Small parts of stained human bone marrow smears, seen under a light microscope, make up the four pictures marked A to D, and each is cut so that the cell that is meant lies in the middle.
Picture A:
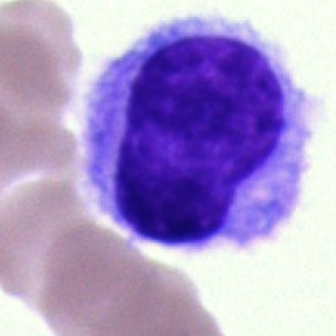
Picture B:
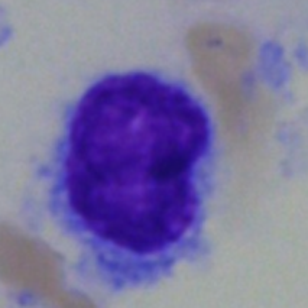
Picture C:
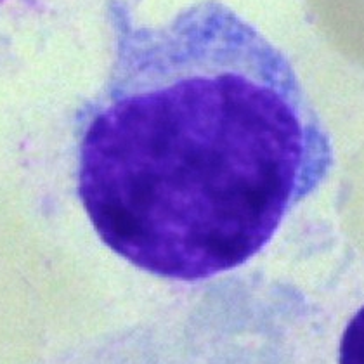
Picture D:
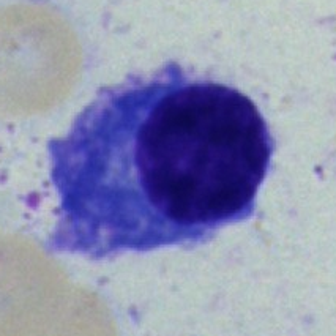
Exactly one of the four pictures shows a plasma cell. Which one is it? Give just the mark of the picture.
D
